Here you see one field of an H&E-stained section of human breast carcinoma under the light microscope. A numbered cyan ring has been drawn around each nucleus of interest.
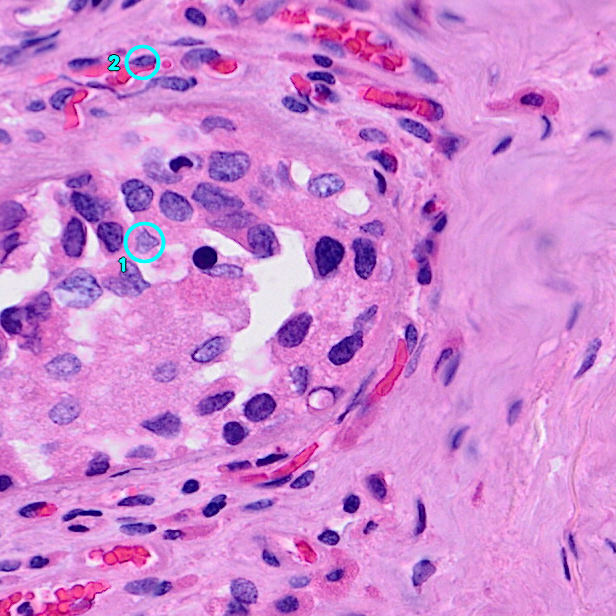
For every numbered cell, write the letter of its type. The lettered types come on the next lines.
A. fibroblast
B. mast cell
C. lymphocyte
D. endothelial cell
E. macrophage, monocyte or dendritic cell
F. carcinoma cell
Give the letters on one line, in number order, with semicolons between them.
F; D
